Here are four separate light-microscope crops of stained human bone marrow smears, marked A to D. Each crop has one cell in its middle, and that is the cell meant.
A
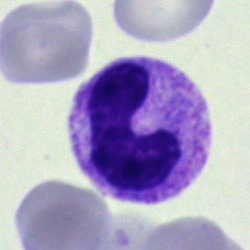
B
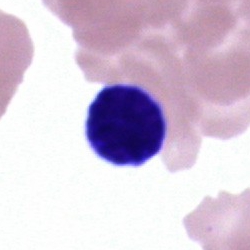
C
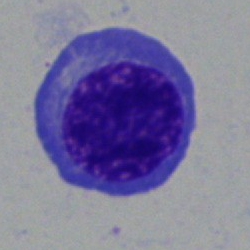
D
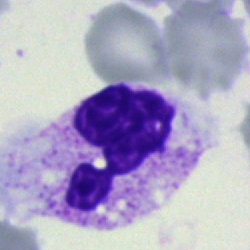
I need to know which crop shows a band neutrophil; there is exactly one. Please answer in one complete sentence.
When the crops are compared, crop A is the one showing a band neutrophil.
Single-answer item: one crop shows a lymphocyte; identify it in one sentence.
The one showing a lymphocyte is crop B.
